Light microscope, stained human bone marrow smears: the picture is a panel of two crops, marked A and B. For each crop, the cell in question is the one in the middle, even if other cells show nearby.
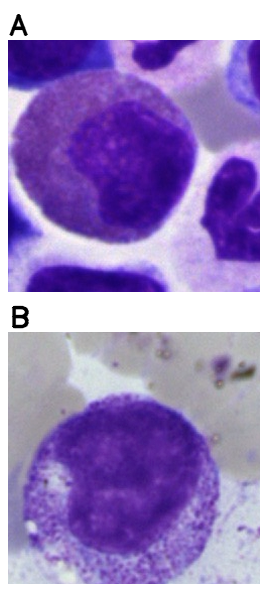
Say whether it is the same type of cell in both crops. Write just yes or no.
no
